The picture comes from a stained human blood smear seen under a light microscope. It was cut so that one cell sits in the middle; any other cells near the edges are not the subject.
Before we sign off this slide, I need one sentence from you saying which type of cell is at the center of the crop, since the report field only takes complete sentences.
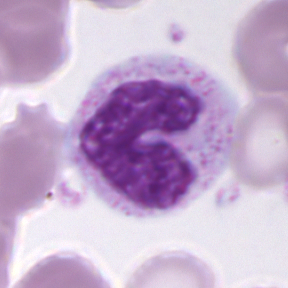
At the middle of the frame sits a band neutrophil.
